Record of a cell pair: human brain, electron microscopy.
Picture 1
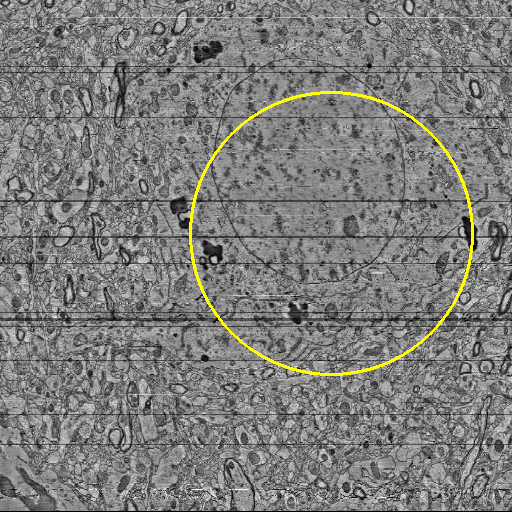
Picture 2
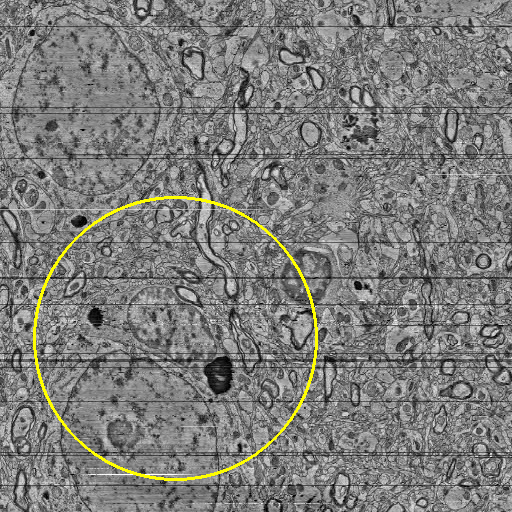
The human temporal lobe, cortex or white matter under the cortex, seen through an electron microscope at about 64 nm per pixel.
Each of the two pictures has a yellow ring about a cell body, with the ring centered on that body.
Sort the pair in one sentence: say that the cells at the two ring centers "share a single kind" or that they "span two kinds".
The cells centered in the rings of Pictures 1 and 2 span two kinds.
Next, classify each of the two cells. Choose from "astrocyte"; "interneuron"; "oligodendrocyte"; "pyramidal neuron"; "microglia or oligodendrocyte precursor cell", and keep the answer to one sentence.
In the first picture it is a pyramidal neuron; in the second it is an oligodendrocyte.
